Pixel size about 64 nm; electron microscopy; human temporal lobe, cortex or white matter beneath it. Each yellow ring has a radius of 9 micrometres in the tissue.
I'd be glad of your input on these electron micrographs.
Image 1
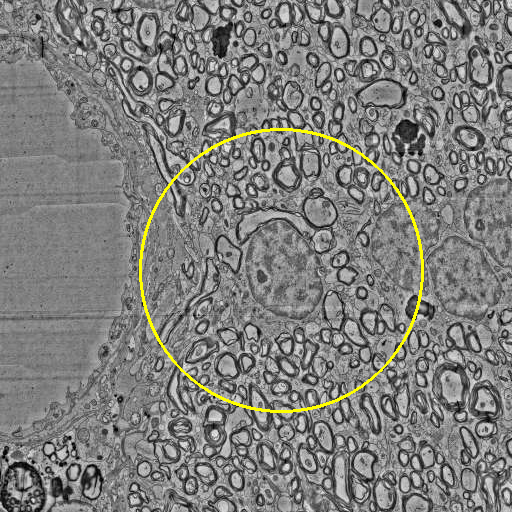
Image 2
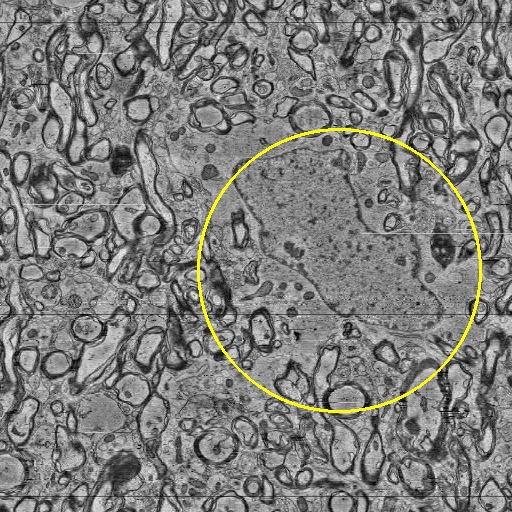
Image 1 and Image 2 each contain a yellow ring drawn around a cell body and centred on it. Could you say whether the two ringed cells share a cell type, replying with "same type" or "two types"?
two types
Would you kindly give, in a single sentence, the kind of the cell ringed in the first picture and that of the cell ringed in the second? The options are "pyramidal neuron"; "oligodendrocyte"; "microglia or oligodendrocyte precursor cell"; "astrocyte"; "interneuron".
The second cell is an astrocyte, and the first cell is an oligodendrocyte.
